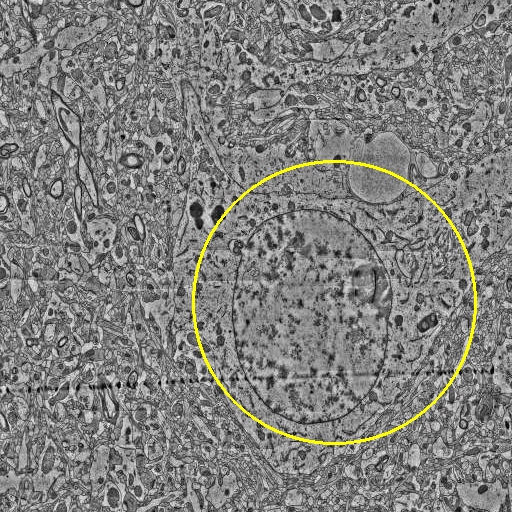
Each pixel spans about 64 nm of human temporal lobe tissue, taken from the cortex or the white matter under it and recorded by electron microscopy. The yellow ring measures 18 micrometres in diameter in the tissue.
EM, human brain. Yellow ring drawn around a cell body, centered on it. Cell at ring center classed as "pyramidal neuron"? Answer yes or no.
yes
